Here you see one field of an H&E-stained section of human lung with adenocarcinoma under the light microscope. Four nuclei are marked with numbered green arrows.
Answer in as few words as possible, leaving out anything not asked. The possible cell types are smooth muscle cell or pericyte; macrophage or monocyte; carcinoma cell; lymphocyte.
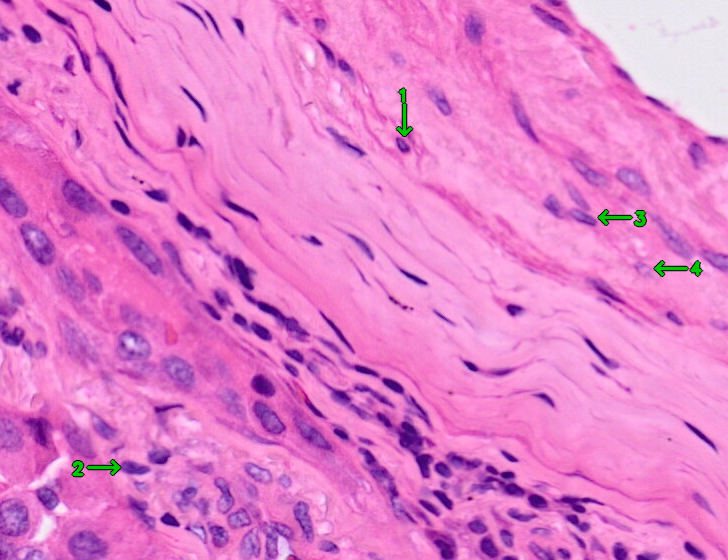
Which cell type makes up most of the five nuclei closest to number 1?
smooth muscle cell or pericyte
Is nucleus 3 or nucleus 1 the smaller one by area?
1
